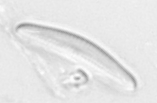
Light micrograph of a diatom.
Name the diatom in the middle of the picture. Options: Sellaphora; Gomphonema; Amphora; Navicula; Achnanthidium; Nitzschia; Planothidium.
Achnanthidium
